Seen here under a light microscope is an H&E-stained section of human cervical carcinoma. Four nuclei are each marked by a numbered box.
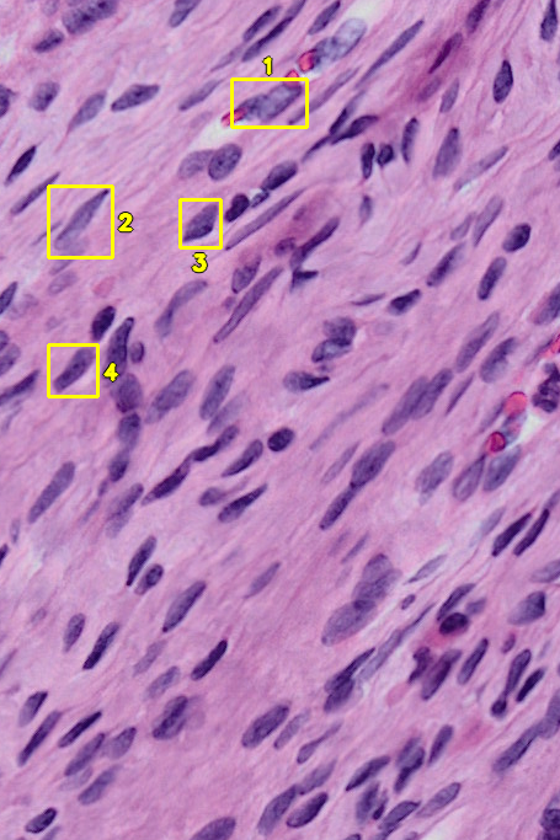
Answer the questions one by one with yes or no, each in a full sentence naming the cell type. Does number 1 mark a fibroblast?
No, cell 1 is to be classed as an endothelial cell, not a fibroblast.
